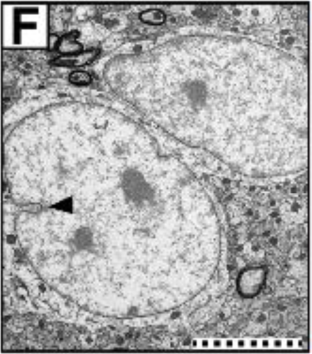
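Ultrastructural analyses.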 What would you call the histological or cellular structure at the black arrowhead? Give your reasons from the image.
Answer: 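A short membrane fold extends inward from the edge of the nucleus. So: nuclear invaginations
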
